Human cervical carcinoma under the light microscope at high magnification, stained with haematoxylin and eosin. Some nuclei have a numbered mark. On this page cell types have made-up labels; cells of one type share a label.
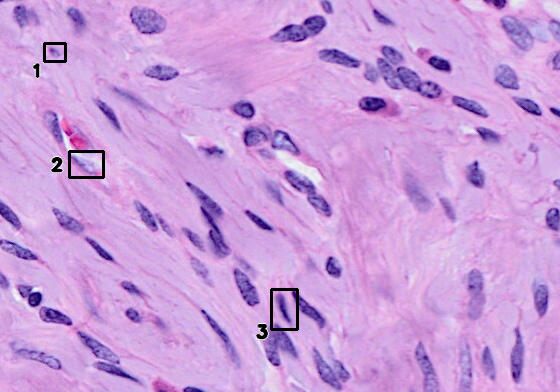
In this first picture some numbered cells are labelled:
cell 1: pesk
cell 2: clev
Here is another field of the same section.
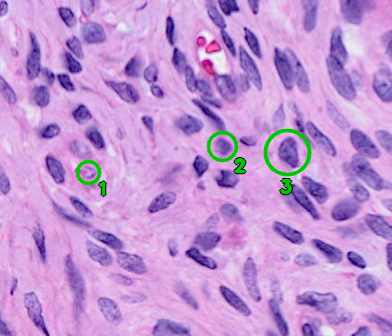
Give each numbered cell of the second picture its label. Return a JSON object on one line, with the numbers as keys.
{"1": "clev", "2": "pesk", "3": "pesk"}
